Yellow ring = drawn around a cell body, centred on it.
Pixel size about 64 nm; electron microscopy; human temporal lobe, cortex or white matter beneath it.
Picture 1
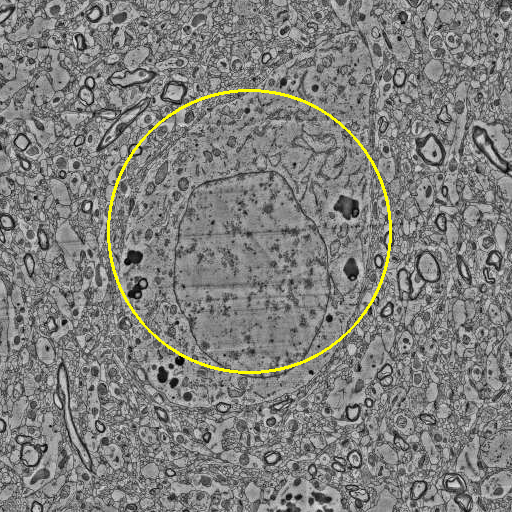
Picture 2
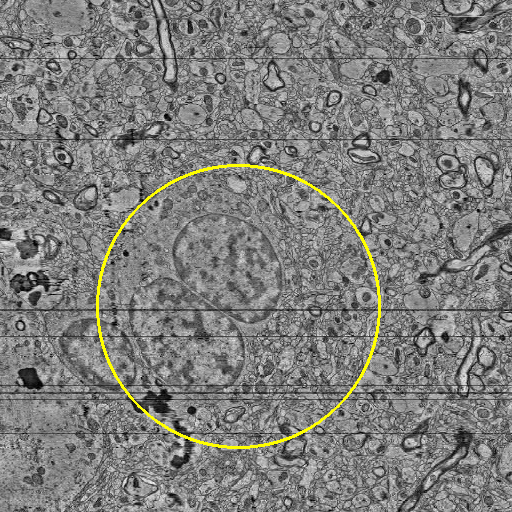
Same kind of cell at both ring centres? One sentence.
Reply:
No, they are two kinds of cell.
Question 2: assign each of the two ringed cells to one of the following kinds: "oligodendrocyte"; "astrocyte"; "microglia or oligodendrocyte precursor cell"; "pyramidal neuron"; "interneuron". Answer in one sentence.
The two cells are a pyramidal neuron in the first picture and an oligodendrocyte in the second.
